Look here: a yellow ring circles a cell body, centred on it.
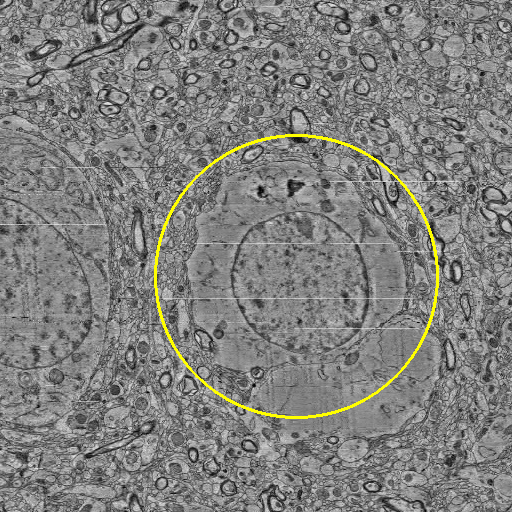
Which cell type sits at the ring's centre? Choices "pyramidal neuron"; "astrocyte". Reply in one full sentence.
The cell at the centre of the yellow ring in the picture is an astrocyte.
